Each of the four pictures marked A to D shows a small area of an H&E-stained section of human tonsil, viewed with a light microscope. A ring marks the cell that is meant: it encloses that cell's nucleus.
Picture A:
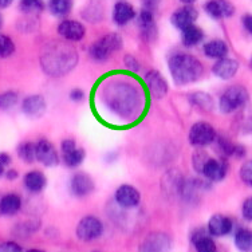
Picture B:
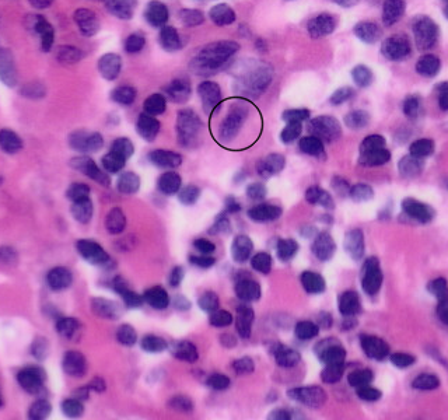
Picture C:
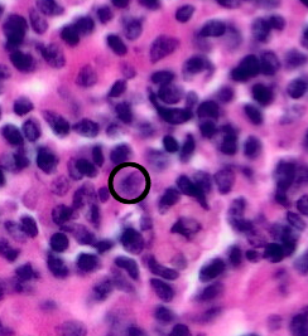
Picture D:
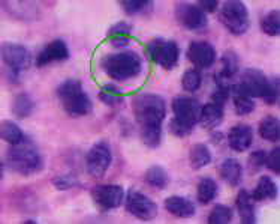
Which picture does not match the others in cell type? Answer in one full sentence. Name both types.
The different one is picture D; it shows a proliferating B cell, whereas all the others show endothelial cells.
